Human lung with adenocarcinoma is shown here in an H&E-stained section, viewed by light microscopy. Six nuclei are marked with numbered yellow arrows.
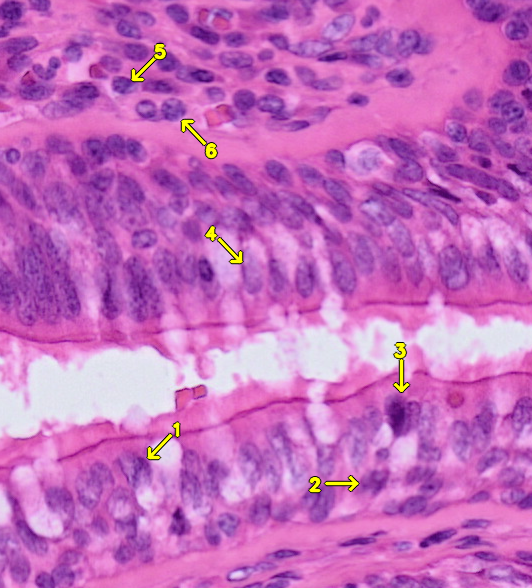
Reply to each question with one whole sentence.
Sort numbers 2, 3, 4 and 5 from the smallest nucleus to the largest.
By area, going up from the smallest, they rank 5, 2, 4, 3.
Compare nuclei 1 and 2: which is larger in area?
Of the two, number 1 is bigger and takes up about 1.5 times the area of number 2.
